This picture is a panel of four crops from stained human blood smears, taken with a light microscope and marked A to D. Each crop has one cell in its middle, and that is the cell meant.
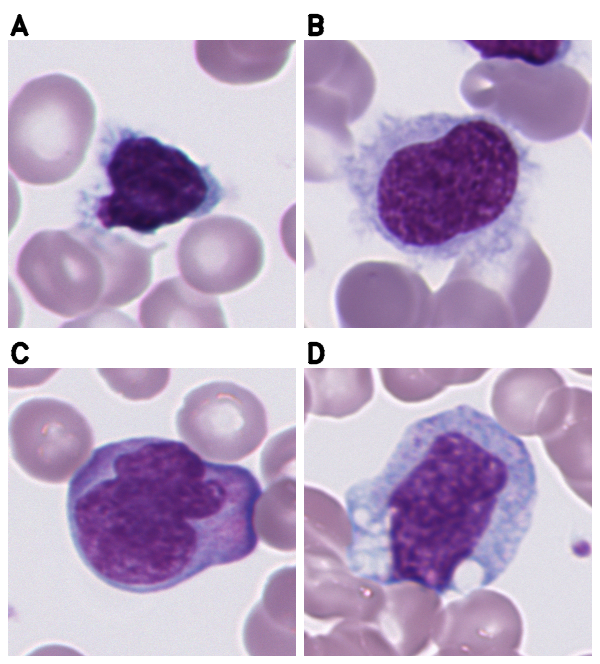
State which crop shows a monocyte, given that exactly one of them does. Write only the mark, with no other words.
D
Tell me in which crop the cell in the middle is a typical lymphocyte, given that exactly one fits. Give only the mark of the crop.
A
